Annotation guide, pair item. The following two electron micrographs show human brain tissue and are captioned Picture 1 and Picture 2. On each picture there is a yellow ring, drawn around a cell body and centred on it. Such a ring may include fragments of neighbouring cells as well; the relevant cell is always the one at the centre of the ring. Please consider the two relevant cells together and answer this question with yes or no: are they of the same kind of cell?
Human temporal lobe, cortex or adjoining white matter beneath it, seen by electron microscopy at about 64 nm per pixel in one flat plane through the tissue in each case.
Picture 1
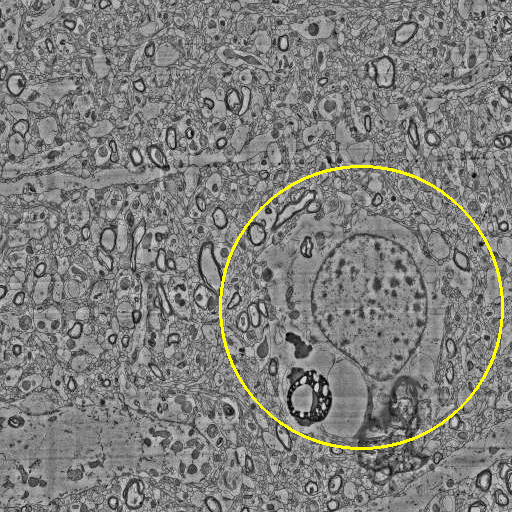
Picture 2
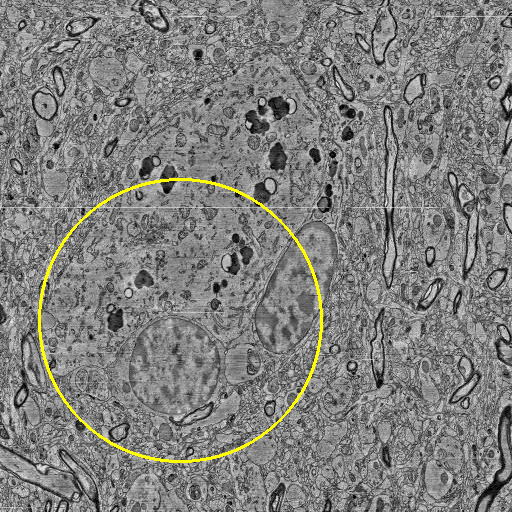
no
